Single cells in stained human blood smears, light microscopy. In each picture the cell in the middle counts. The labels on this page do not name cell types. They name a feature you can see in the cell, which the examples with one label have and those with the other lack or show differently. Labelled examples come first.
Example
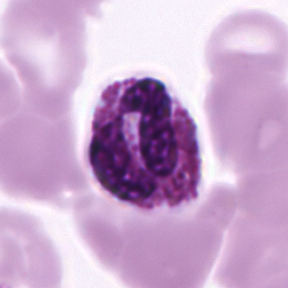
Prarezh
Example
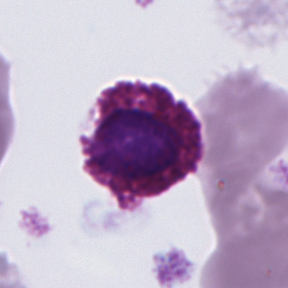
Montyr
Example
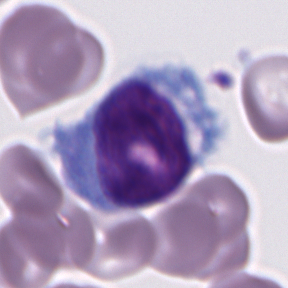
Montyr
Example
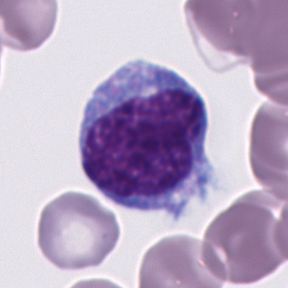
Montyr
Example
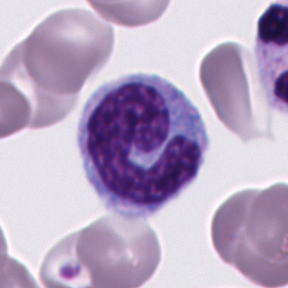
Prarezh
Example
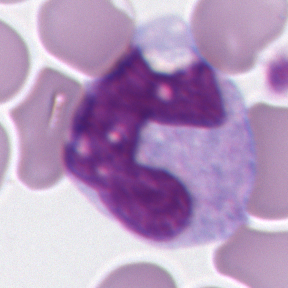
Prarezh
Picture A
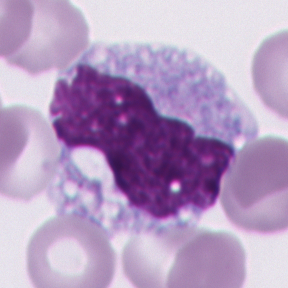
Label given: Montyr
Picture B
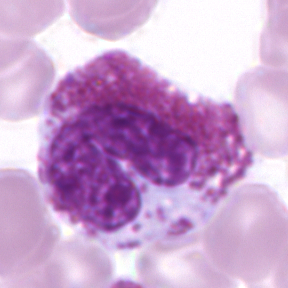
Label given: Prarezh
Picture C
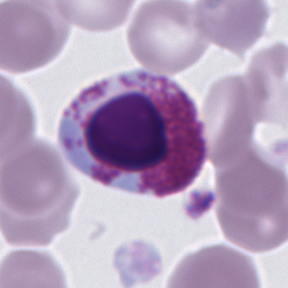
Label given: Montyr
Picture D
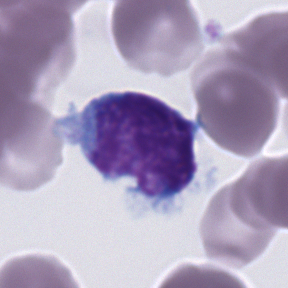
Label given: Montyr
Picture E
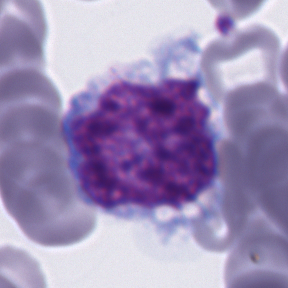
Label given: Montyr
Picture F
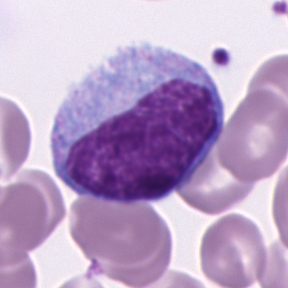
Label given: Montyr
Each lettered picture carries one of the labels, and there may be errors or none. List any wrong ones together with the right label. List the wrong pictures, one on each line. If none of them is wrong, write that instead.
A is labelled Montyr; correct label: Prarezh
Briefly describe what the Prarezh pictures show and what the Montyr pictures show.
Prarezh: band-shaped nucleus; Montyr: round or oval nucleus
